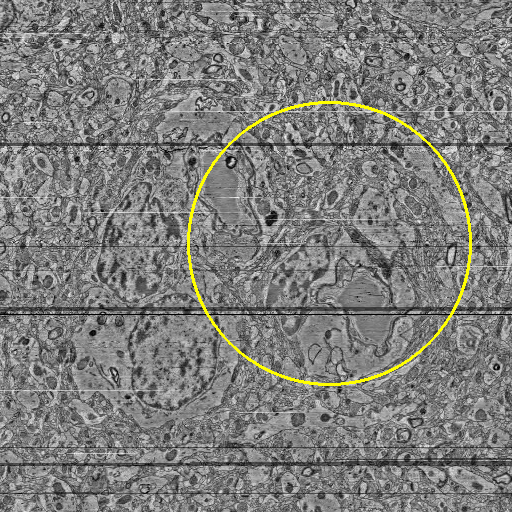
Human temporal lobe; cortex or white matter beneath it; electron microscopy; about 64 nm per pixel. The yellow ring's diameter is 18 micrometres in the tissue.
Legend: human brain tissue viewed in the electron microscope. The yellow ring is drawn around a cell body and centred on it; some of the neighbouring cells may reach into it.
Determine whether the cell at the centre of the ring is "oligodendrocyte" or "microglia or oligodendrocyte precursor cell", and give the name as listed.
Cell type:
microglia or oligodendrocyte precursor cell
